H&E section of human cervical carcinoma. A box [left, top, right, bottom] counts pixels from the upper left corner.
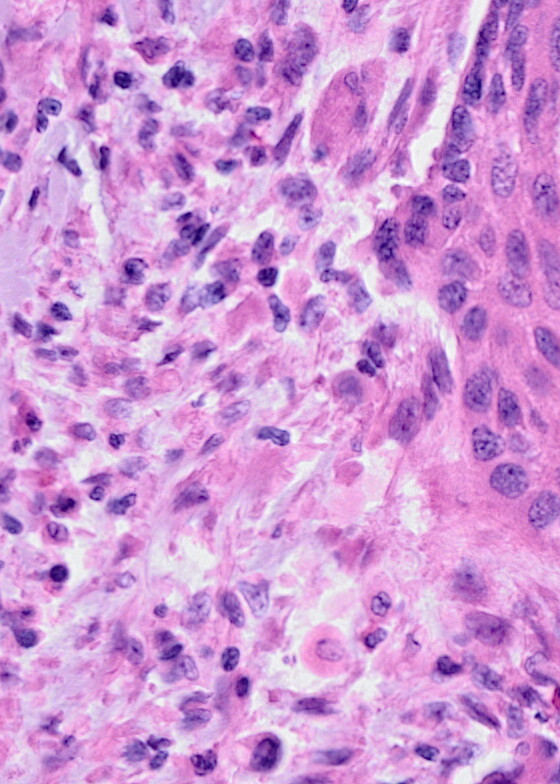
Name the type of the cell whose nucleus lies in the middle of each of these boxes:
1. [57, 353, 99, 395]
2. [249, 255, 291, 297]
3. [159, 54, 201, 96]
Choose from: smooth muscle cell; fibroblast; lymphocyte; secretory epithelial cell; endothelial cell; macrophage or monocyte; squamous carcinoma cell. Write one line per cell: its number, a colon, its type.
1: fibroblast
2: lymphocyte
3: lymphocyte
